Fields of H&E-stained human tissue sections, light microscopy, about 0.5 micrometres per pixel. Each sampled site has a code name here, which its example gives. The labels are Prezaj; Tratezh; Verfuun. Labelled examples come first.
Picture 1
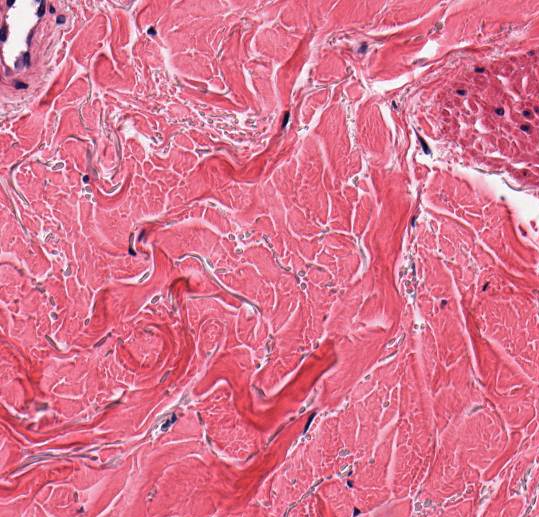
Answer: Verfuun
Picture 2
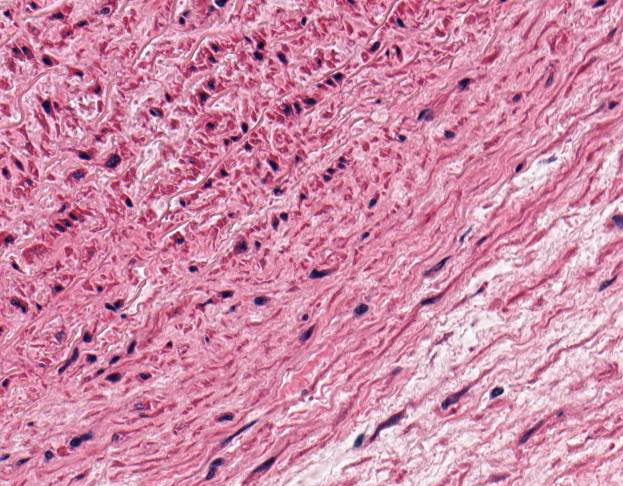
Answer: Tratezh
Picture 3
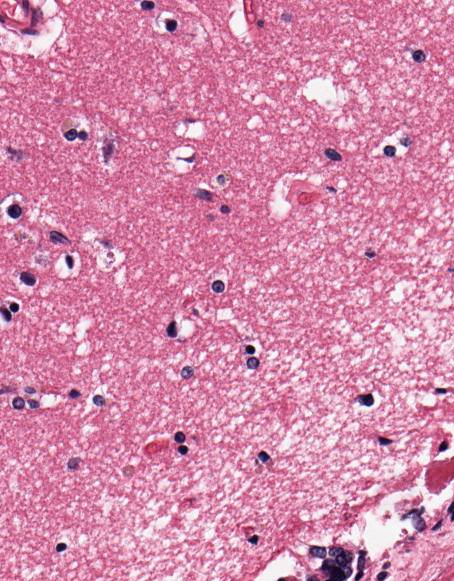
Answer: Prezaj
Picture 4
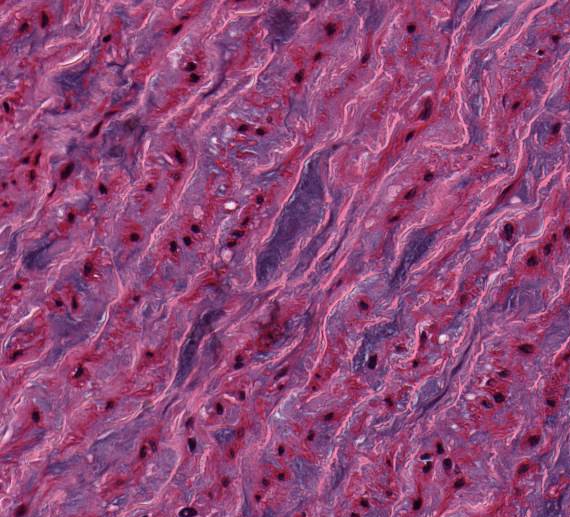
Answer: Tratezh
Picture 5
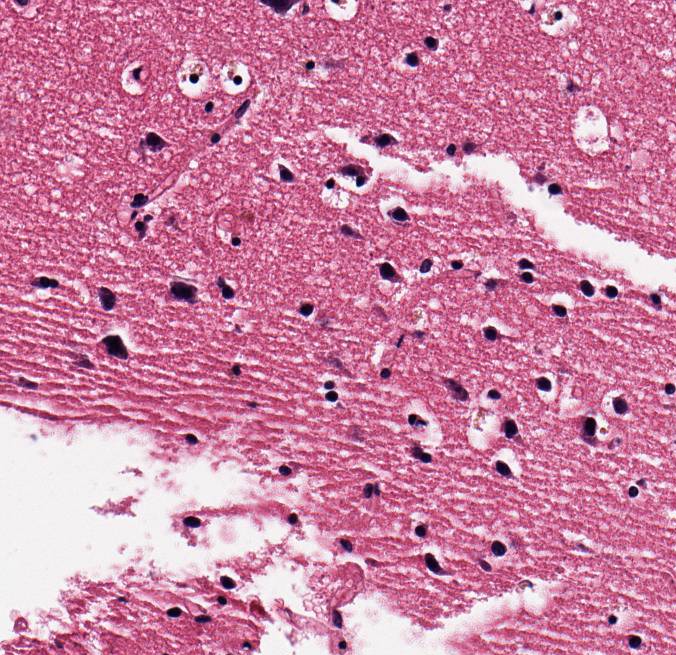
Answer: Prezaj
